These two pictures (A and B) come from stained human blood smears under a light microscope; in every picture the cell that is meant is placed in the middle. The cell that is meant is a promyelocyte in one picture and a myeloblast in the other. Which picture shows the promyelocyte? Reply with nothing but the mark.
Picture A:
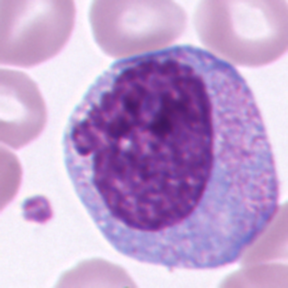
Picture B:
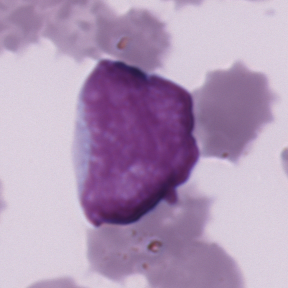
A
